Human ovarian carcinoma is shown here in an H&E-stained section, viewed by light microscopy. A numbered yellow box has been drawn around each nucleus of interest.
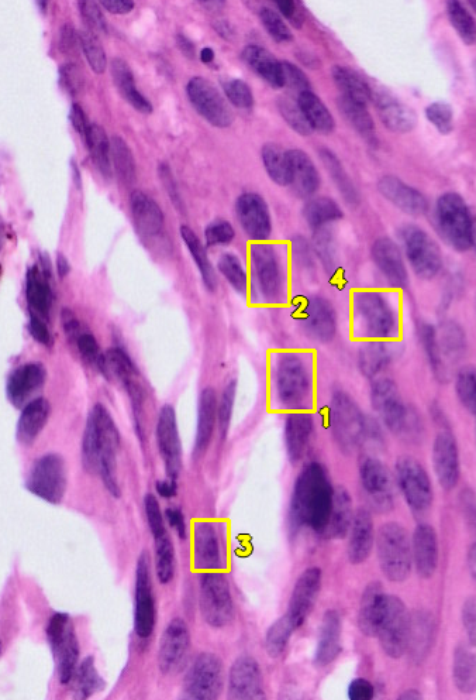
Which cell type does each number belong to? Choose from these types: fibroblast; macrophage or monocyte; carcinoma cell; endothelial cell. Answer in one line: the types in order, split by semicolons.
carcinoma cell; carcinoma cell; carcinoma cell; macrophage or monocyte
